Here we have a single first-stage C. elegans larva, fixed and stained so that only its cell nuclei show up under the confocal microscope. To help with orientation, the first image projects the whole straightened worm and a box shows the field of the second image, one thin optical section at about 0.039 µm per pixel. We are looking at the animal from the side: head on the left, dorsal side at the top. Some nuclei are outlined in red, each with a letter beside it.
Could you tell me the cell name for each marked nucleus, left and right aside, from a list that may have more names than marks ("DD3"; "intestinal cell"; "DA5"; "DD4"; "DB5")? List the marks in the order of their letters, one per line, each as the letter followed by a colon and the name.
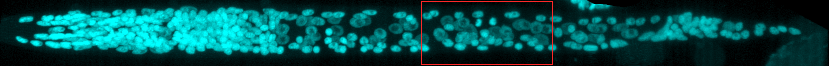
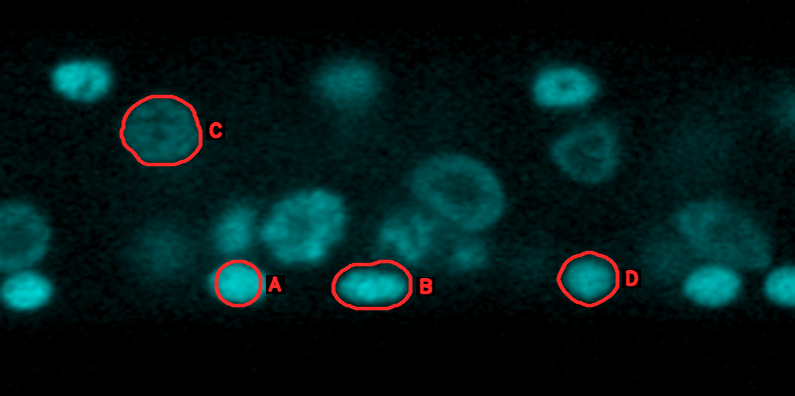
A: DB5
B: DA5
C: intestinal cell
D: DD4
